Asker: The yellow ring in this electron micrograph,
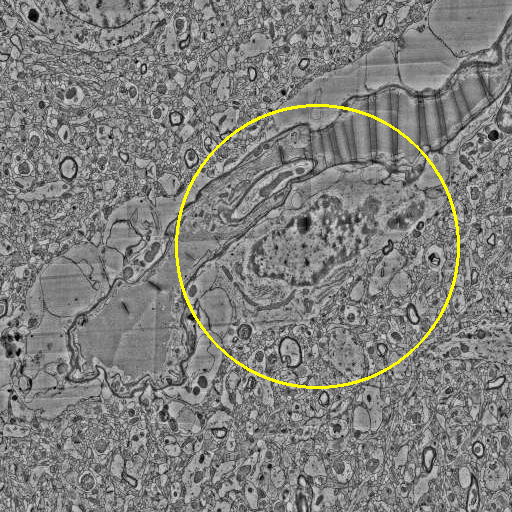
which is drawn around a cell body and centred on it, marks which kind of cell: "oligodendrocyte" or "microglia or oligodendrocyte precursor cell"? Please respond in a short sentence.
The marked cell is a microglial cell or oligodendrocyte precursor cell.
